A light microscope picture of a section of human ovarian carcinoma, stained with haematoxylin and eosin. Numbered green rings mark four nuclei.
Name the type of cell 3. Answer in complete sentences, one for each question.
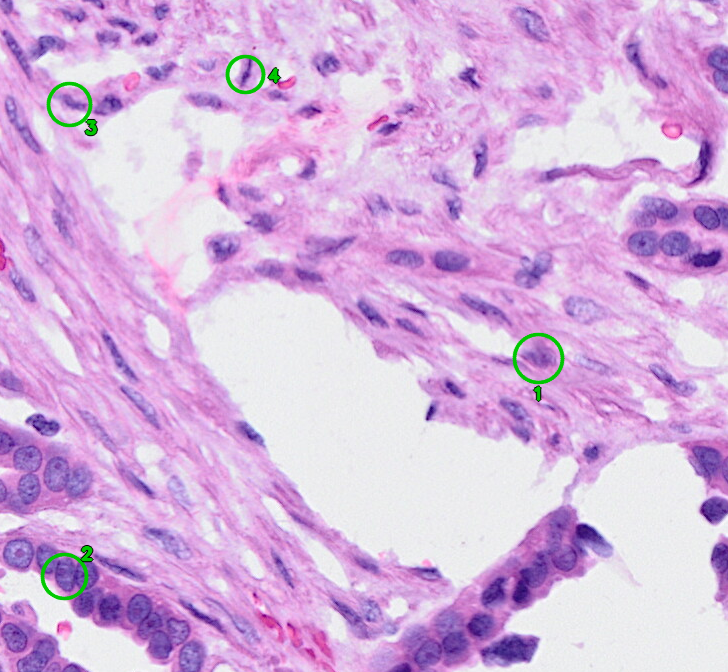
The cell with the number 3 is a fibroblast.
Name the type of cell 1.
The identity of cell 1 is that of a fibroblast.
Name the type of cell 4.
The nucleus marked 4 is the nucleus of a fibroblast.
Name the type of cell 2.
The cell indicated with the number 2 is classed as a carcinoma cell.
